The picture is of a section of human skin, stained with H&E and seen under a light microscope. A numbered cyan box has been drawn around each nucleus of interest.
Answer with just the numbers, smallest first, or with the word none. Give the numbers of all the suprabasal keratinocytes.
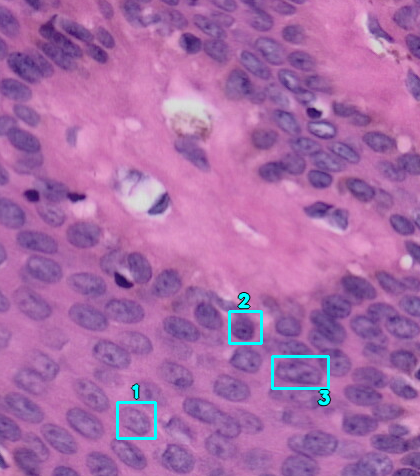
1, 3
